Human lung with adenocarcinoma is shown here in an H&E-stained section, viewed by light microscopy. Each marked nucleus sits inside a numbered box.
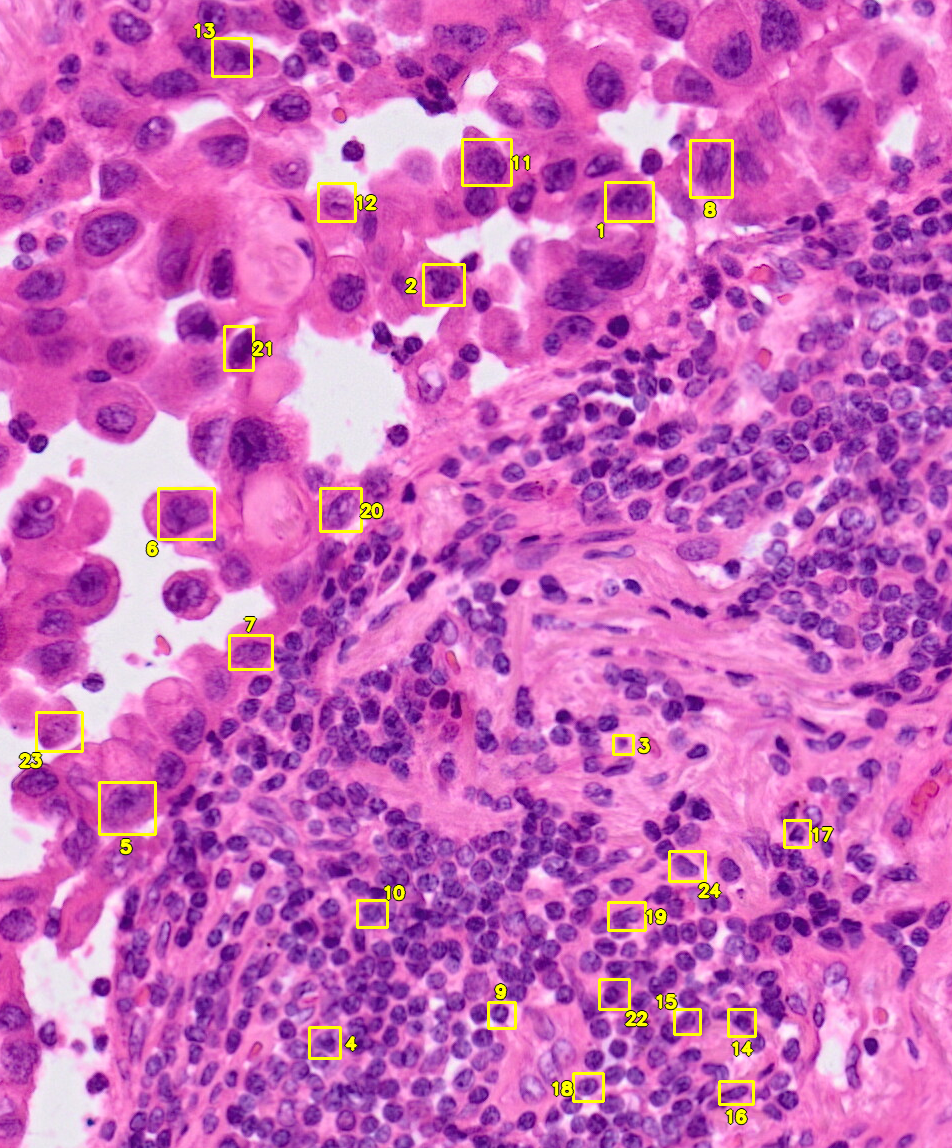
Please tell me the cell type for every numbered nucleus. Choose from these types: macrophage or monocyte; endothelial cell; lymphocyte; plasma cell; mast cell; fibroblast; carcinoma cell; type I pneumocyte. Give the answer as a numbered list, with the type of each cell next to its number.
1. carcinoma cell
2. carcinoma cell
3. lymphocyte
4. lymphocyte
5. carcinoma cell
6. carcinoma cell
7. carcinoma cell
8. carcinoma cell
9. lymphocyte
10. lymphocyte
11. carcinoma cell
12. carcinoma cell
13. carcinoma cell
14. lymphocyte
15. lymphocyte
16. lymphocyte
17. lymphocyte
18. lymphocyte
19. lymphocyte
20. carcinoma cell
21. carcinoma cell
22. lymphocyte
23. carcinoma cell
24. lymphocyte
